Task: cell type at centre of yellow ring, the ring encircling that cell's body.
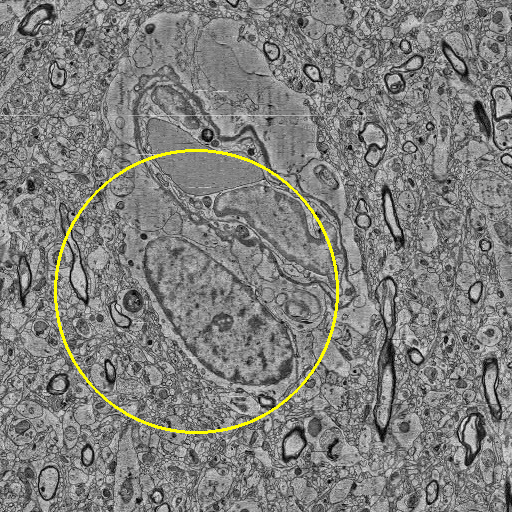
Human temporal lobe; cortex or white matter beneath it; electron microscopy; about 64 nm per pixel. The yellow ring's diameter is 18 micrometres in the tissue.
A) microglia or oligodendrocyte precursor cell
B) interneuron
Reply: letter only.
A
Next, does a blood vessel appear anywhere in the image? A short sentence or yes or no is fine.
Yes, a blood vessel can be seen.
